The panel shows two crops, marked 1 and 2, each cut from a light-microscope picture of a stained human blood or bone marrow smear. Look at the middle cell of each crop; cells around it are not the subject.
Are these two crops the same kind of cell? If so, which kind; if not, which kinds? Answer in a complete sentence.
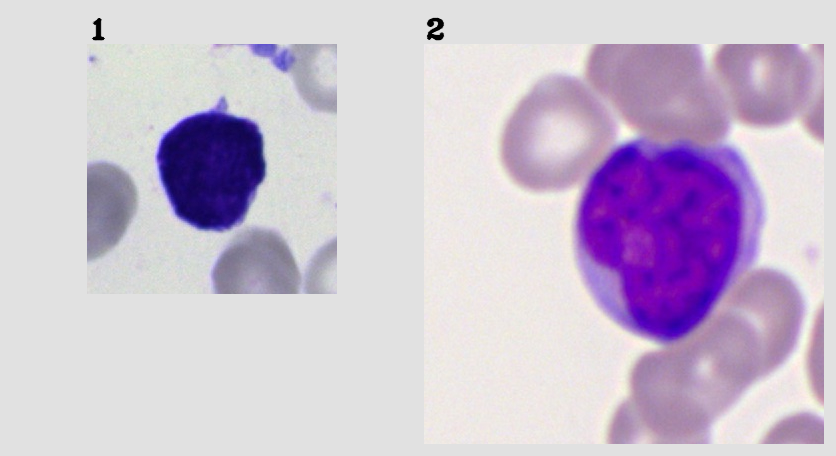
Yes, the cells in both crops are blasts.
